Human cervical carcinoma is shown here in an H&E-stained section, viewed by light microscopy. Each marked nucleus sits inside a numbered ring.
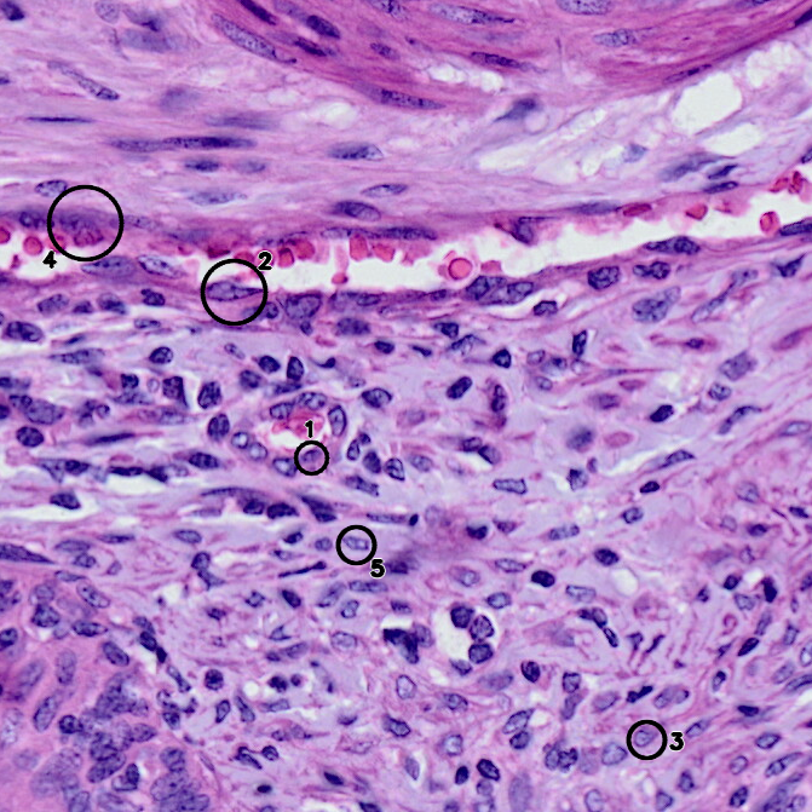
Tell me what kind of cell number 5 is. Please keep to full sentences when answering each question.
Identified by the number 5, the cell is a fibroblast.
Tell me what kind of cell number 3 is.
Identified by the number 3, the cell is a smooth muscle cell.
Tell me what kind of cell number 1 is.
The cell that bears the number 1 is an endothelial cell.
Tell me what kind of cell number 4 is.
The numbered cell 4 in this field is an endothelial cell.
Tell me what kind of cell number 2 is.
The cell that goes by number 2 is an endothelial cell.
